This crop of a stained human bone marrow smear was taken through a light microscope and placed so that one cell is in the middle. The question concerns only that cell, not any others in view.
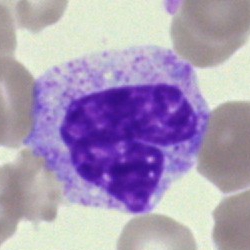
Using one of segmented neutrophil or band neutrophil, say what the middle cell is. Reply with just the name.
band neutrophil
